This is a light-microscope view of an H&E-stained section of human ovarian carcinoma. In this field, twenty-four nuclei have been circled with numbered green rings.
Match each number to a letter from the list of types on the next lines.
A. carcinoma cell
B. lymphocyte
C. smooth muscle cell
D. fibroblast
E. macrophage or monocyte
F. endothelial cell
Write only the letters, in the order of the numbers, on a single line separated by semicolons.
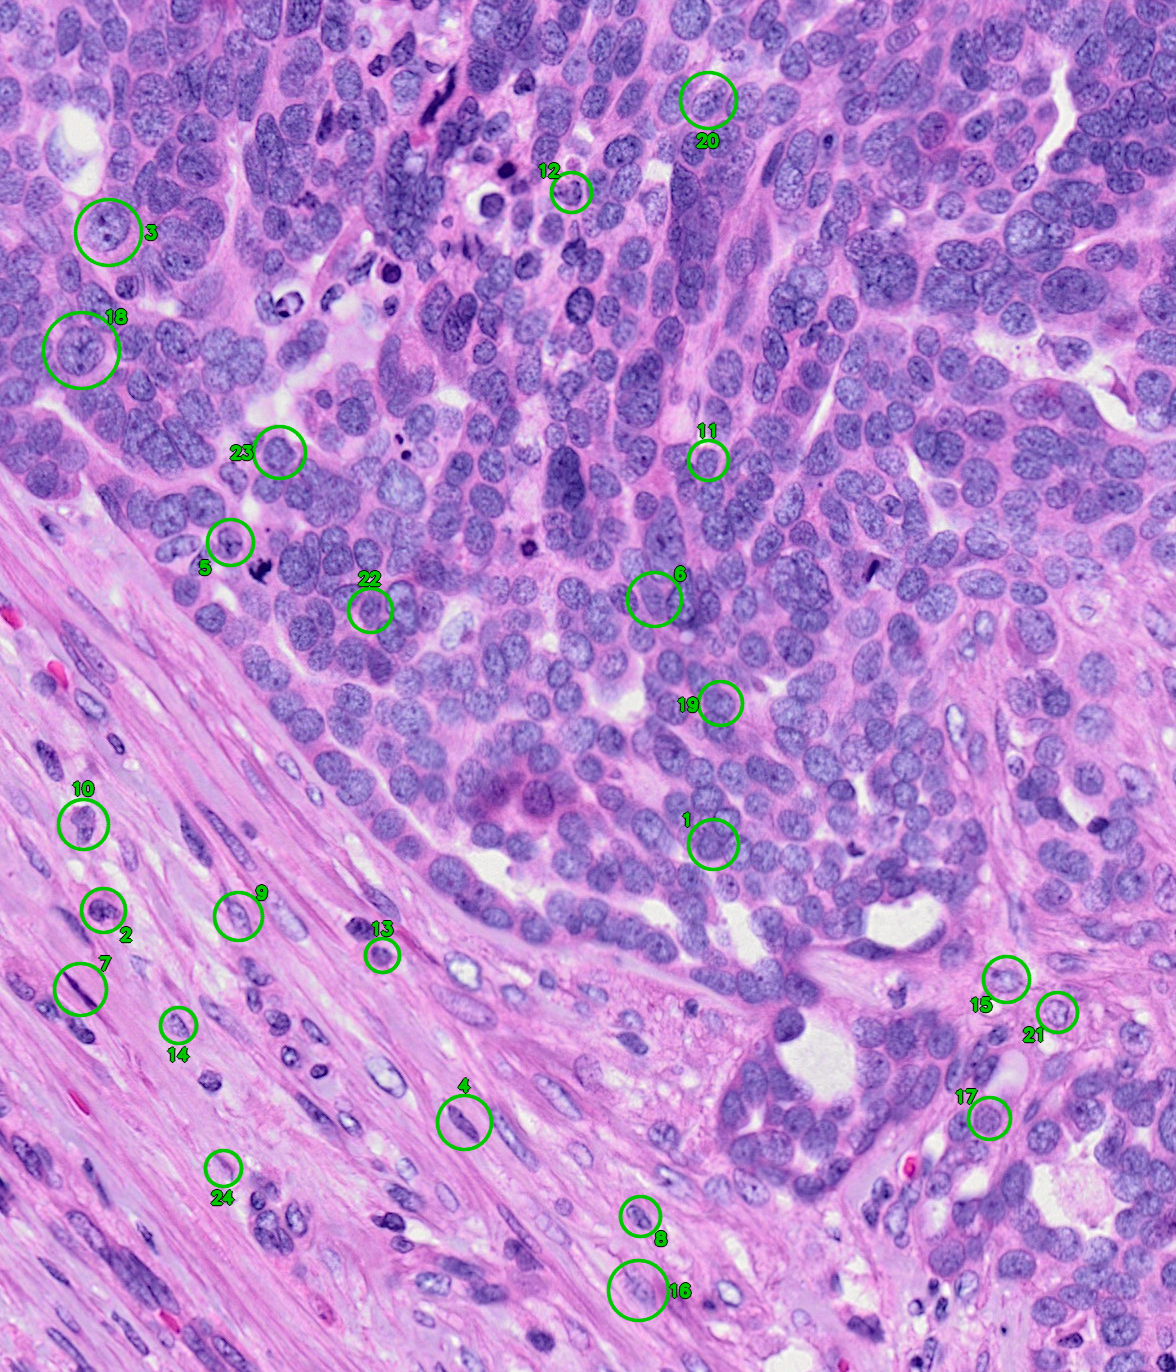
A; E; A; E; E; A; D; E; D; E; A; E; E; D; D; D; A; A; A; A; D; A; A; D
